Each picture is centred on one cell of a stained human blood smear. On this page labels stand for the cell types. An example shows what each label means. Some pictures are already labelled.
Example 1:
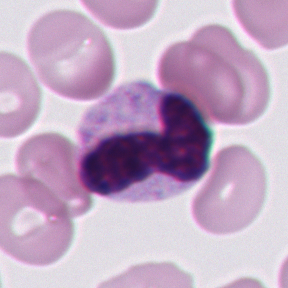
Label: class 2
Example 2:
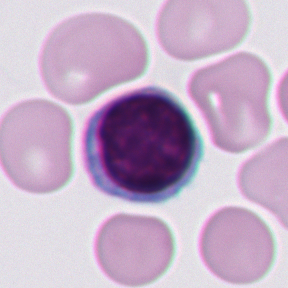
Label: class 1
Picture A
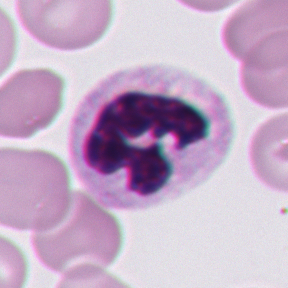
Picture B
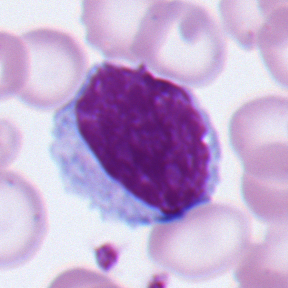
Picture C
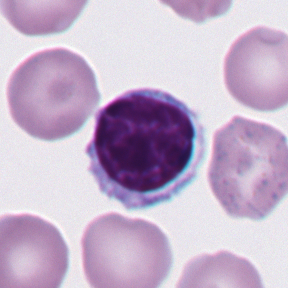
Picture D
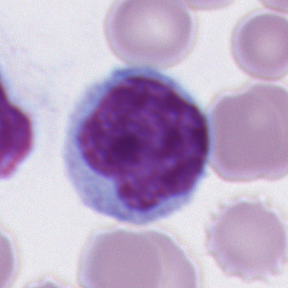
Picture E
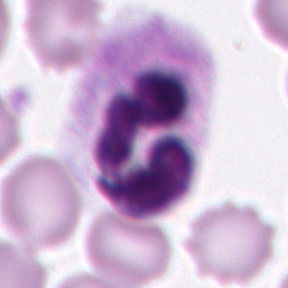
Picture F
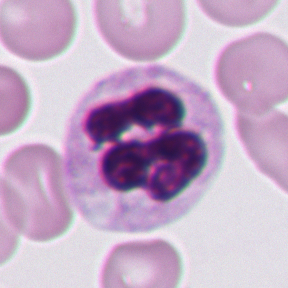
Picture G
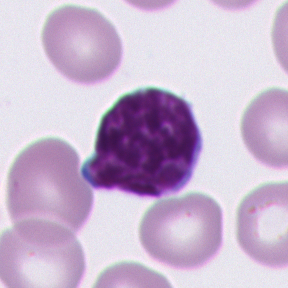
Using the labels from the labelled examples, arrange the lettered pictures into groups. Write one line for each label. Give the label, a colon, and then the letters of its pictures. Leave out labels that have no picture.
class 2: A, E, F
class 1: B, C, D, G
